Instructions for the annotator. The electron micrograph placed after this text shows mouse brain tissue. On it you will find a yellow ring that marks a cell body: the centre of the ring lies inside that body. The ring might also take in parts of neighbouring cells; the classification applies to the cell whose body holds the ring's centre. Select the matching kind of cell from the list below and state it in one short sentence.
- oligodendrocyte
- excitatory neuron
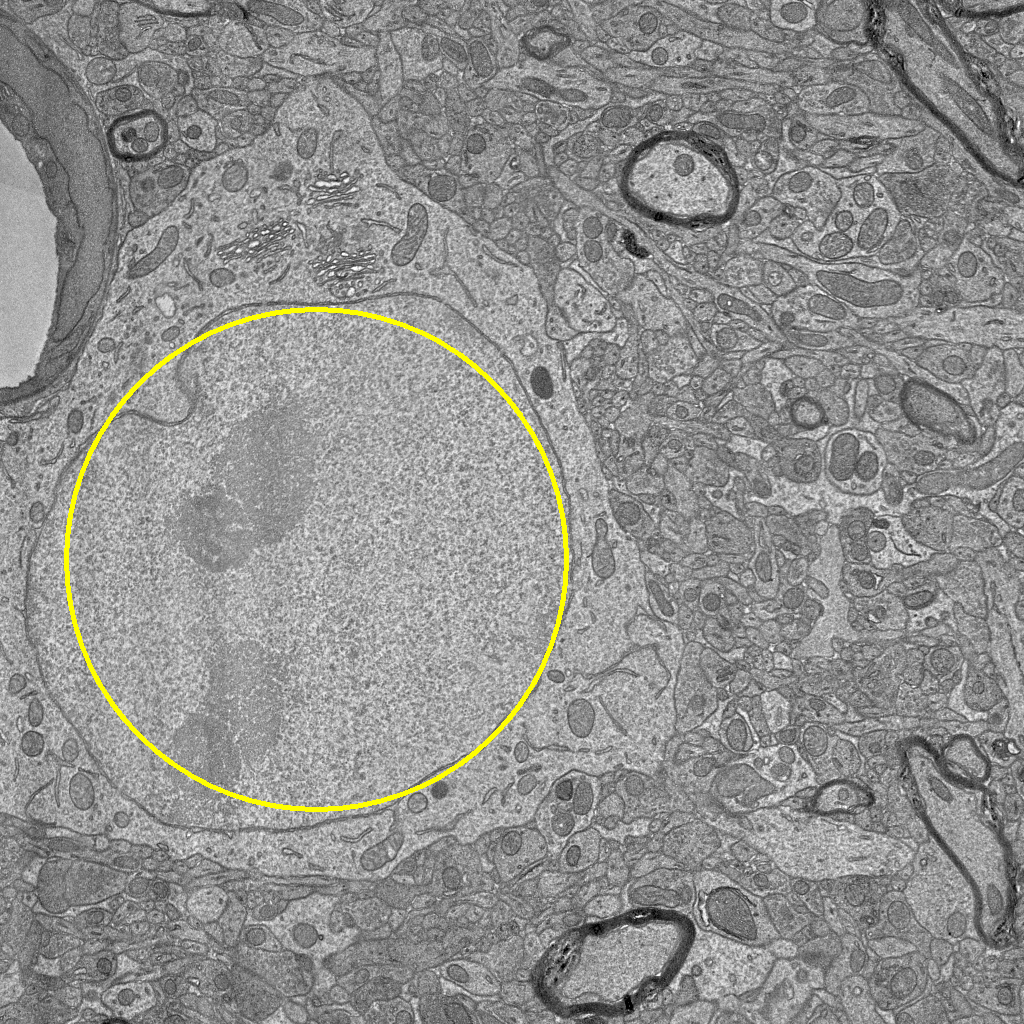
The centre of the ring lies in the cell body of an excitatory neuron.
